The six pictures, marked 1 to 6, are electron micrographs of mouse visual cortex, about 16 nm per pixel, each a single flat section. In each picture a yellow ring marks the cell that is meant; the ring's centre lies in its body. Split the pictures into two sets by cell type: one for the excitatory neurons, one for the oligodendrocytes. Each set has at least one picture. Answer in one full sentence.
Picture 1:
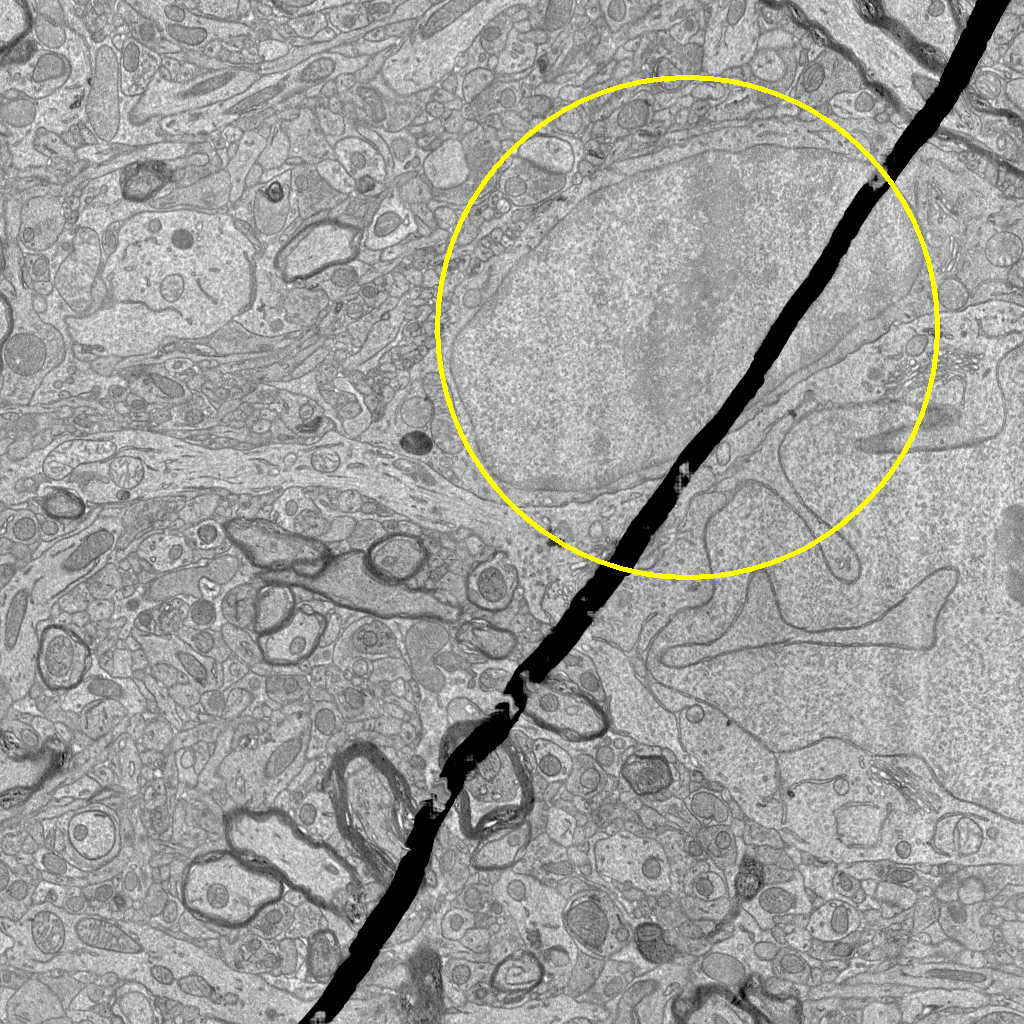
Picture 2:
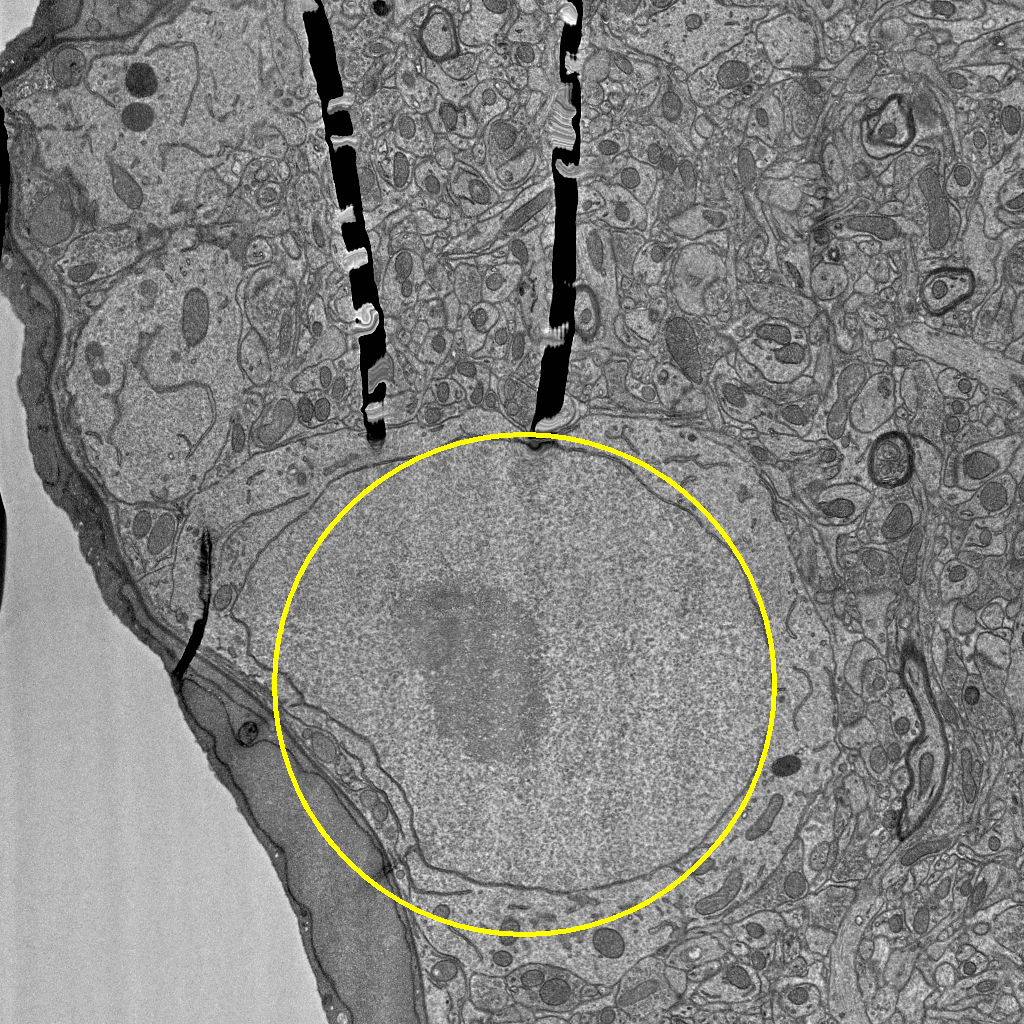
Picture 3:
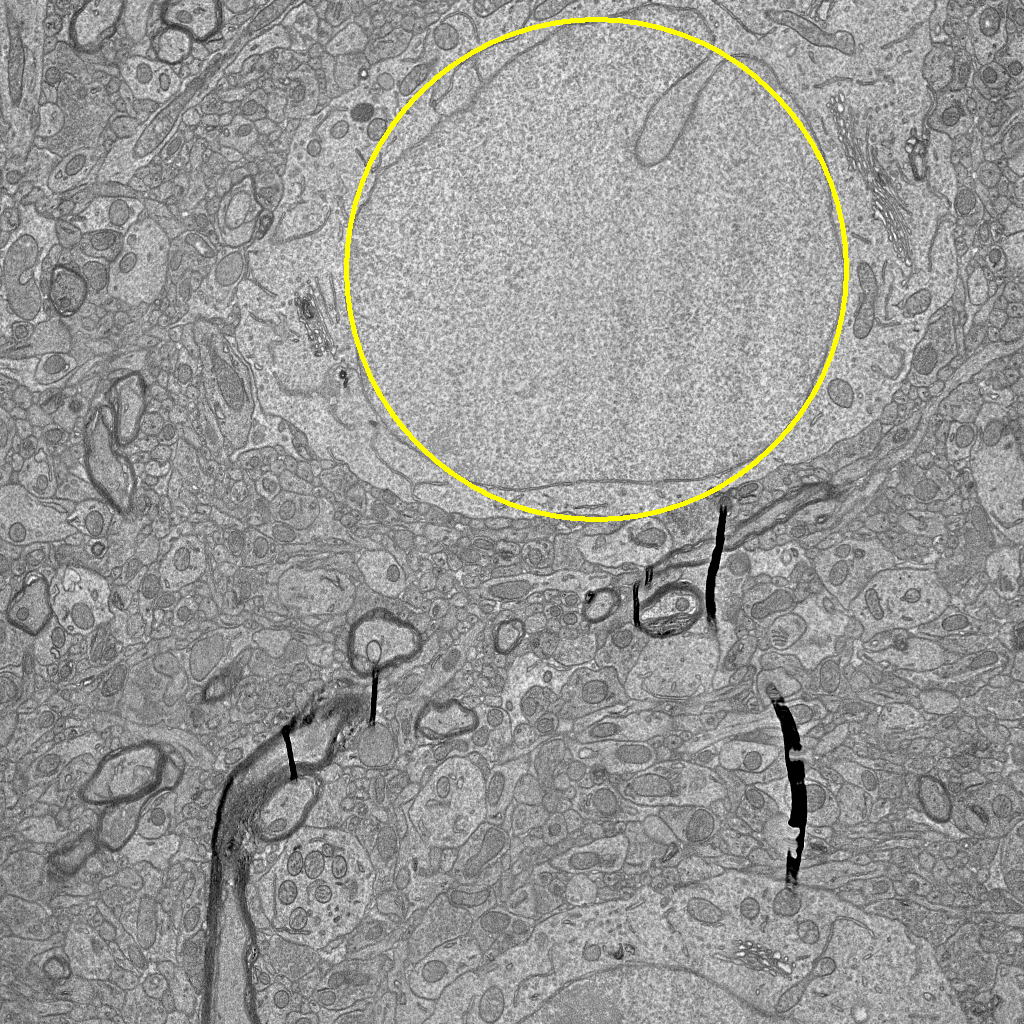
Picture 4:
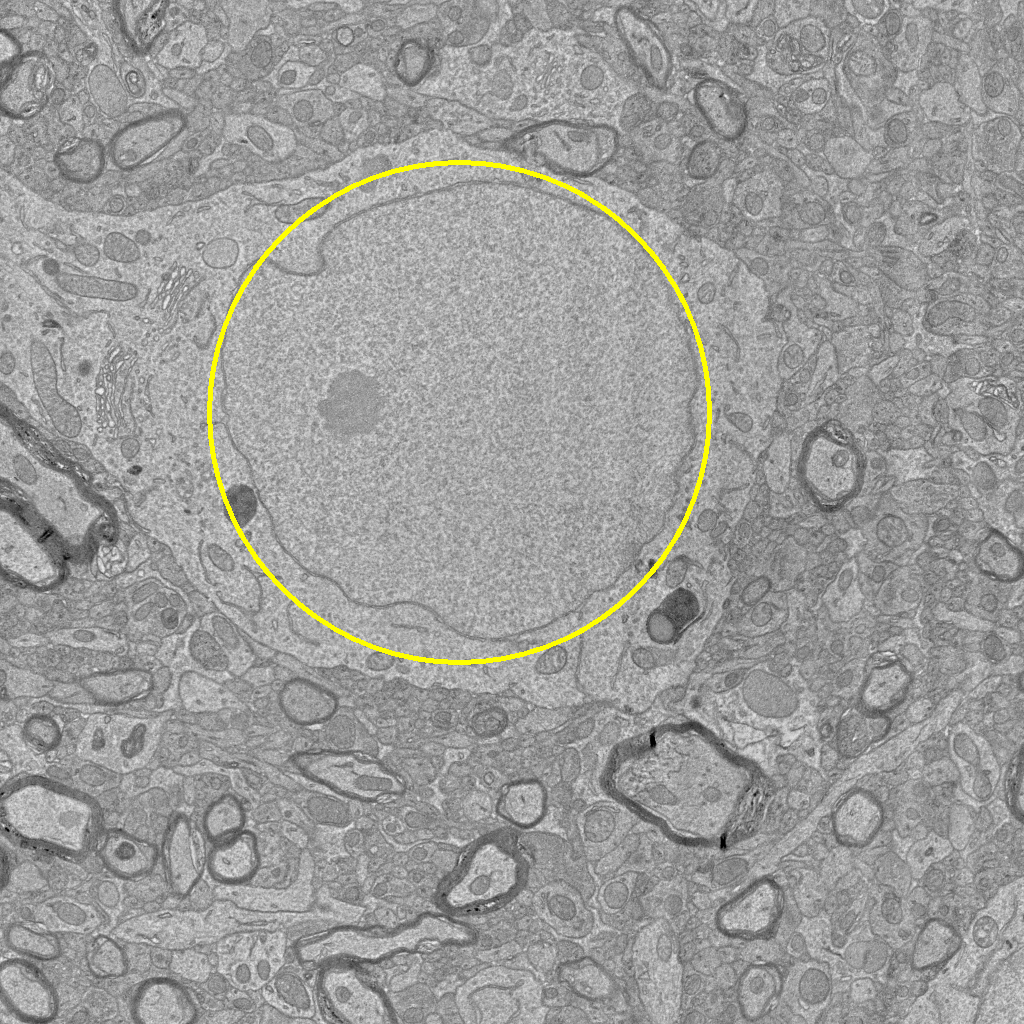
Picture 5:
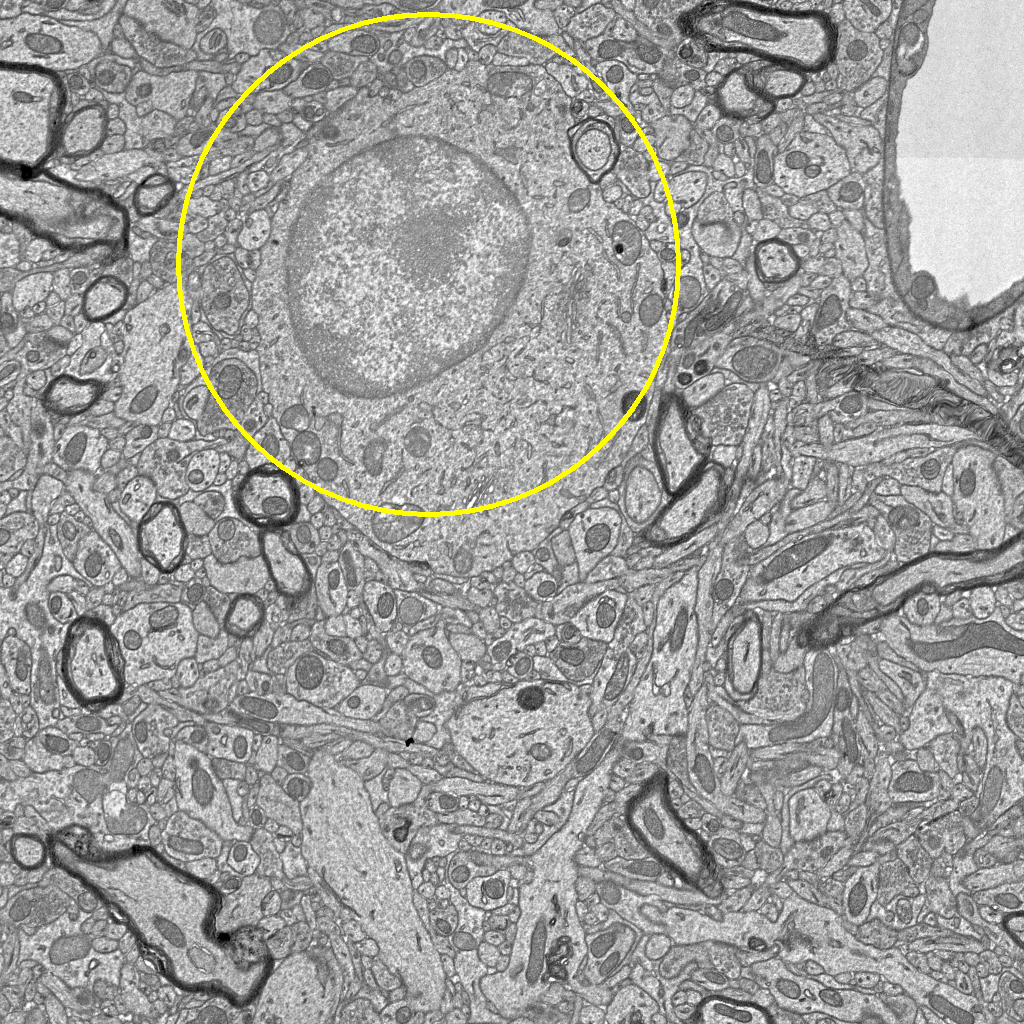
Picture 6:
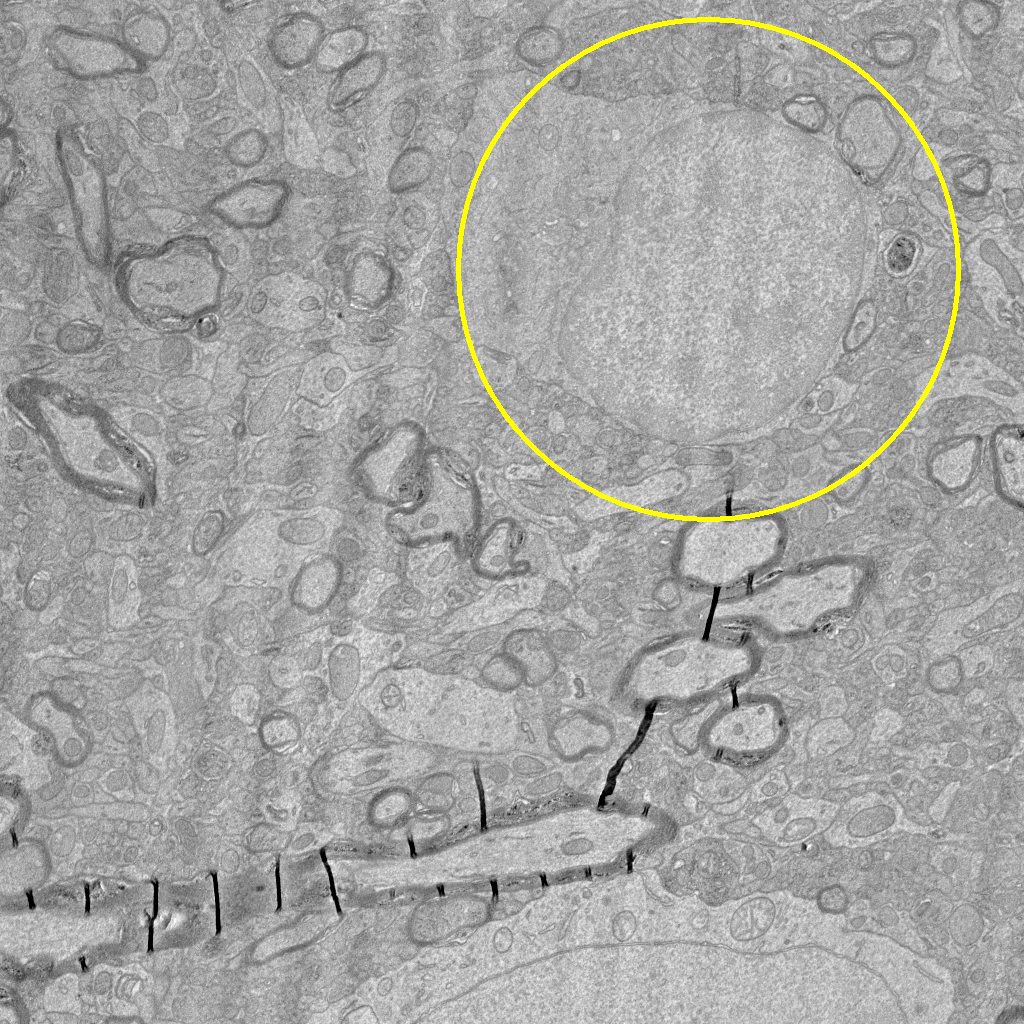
Pictures 2, 3 and 4 show excitatory neurons, while pictures 1, 5 and 6 show oligodendrocytes.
